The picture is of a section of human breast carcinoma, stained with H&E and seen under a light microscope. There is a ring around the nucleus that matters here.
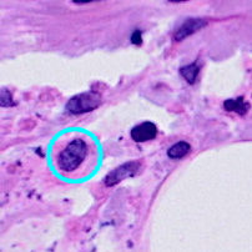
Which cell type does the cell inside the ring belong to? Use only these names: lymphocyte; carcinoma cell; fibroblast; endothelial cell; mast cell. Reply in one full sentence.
As for its identity, the cell inside the ring is a mast cell.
